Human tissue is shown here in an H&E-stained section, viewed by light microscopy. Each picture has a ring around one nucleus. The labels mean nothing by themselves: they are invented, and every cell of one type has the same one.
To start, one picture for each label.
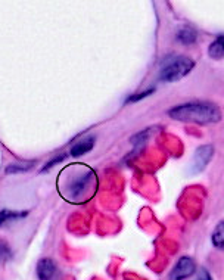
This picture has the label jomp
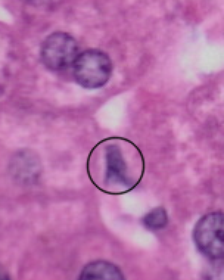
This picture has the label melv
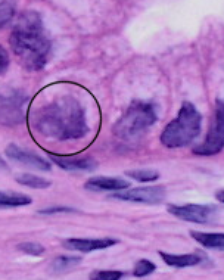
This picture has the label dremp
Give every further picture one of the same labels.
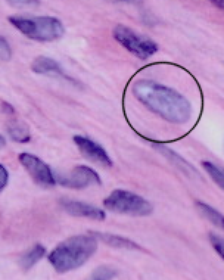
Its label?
jomp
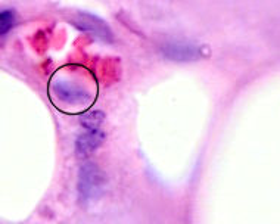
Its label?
jomp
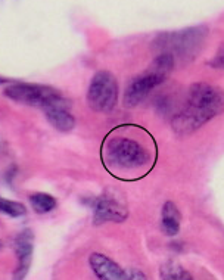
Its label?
melv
